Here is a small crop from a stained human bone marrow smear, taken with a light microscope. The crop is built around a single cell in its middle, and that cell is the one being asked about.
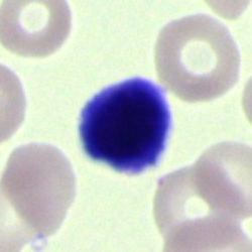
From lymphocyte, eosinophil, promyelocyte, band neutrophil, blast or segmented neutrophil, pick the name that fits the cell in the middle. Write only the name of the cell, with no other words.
lymphocyte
